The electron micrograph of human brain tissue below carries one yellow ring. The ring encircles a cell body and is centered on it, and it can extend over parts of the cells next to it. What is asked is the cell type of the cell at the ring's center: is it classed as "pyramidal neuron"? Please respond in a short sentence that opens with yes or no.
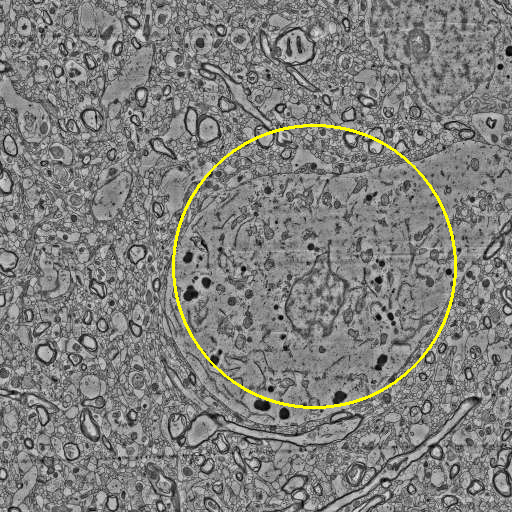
Yes, it is classed that way.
